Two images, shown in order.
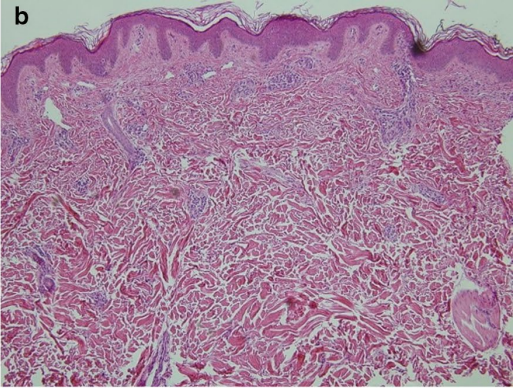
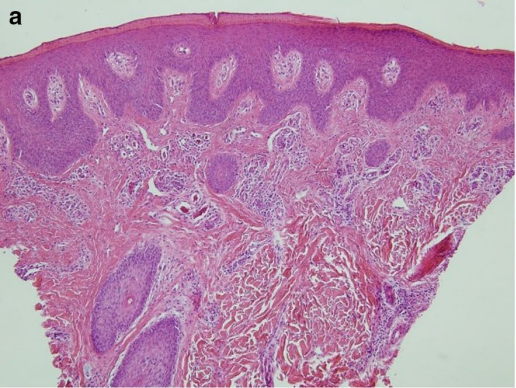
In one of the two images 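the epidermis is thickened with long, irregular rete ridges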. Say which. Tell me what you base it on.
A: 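The second image. First image: the epidermis is thin with short, shallow rete ridges. Second image: the epidermis is several times thicker with long, club-shaped rete ridges reaching deep into the dermis.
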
